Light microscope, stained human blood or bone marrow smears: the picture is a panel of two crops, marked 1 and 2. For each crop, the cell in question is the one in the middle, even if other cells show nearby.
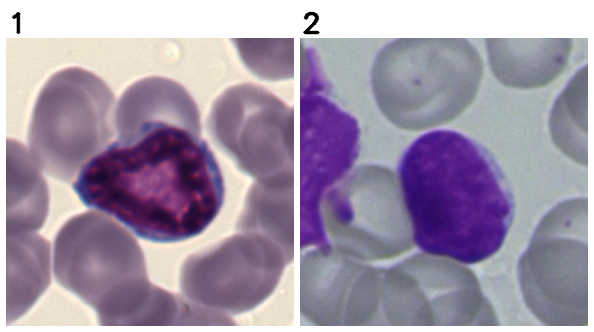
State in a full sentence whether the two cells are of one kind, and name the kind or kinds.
Yes, the two crops show lymphocytes at their centres.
